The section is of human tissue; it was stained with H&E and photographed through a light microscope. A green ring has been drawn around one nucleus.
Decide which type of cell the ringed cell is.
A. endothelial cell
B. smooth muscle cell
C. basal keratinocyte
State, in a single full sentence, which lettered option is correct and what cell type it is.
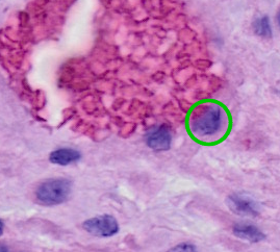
Option A gets it right, as the ringed cell is an endothelial cell.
